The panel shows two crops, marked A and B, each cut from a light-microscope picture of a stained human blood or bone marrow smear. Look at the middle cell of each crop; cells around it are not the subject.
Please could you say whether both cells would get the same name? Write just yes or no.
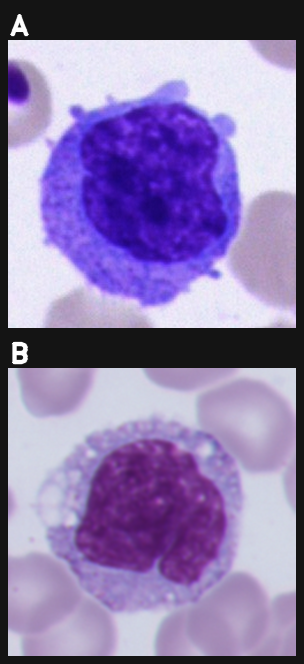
yes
